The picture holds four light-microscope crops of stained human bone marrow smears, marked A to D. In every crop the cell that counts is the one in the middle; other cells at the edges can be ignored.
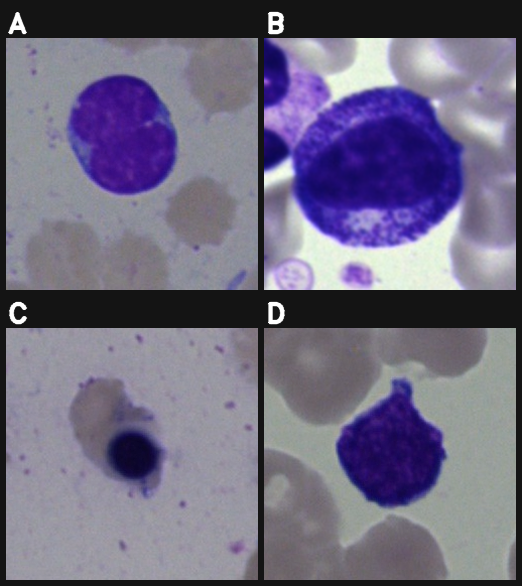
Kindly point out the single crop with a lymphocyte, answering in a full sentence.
The correct choice is crop A, the one showing a lymphocyte.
